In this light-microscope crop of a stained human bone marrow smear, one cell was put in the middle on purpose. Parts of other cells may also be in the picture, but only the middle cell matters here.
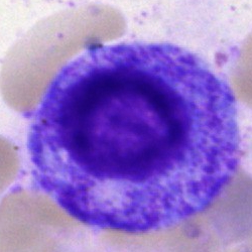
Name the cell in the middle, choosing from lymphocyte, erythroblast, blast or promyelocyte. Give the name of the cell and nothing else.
promyelocyte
